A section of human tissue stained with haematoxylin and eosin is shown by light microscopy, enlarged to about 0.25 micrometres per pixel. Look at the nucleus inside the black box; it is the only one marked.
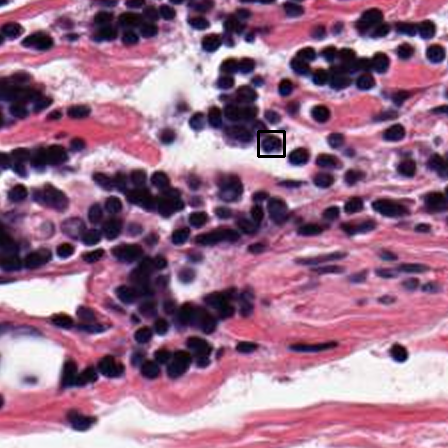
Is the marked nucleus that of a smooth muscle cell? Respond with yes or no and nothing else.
no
